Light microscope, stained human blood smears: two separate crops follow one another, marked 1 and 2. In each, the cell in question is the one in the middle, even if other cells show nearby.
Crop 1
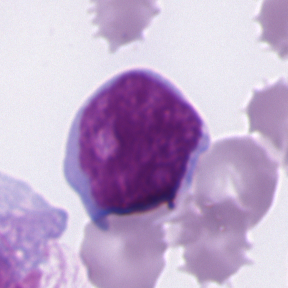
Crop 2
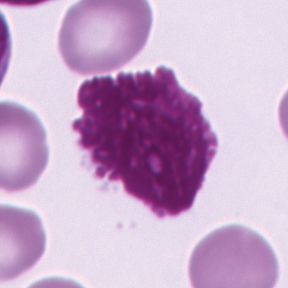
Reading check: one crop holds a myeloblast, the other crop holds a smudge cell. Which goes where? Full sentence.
What is seen in crop 1 is a myeloblast; what is seen in crop 2 is a smudge cell.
